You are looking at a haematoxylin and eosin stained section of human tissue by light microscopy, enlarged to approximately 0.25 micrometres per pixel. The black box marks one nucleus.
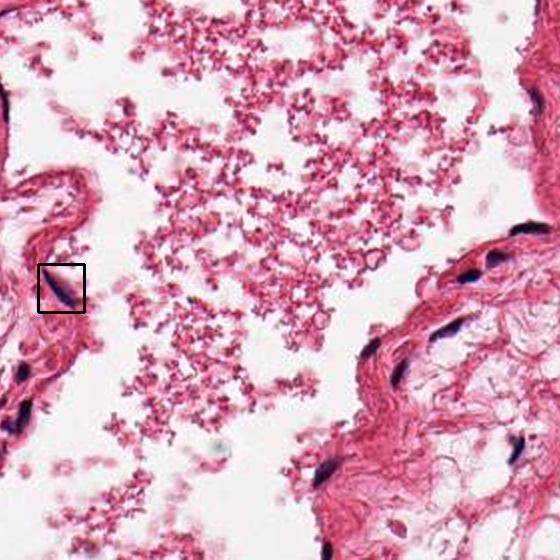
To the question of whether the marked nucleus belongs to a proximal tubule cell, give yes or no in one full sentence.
No, the marked nucleus is not the nucleus of a proximal tubule cell but of a supporting cell.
